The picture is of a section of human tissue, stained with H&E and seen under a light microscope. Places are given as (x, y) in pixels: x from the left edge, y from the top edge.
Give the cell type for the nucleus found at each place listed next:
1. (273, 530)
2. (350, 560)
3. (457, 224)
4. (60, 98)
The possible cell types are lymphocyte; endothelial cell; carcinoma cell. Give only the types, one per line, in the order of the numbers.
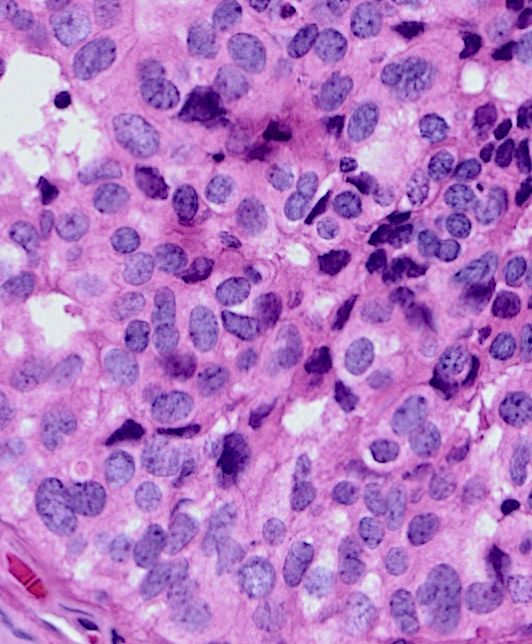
carcinoma cell
carcinoma cell
carcinoma cell
lymphocyte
